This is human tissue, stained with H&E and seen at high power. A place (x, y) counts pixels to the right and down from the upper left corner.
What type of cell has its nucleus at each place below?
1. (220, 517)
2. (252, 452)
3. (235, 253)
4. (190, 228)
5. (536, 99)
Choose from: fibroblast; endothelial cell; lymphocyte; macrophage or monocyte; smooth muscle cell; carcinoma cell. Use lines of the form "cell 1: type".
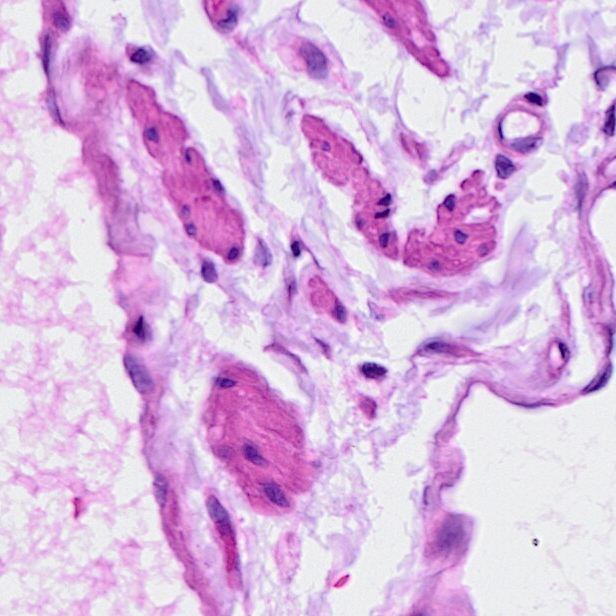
cell 1: endothelial cell
cell 2: smooth muscle cell
cell 3: smooth muscle cell
cell 4: smooth muscle cell
cell 5: macrophage or monocyte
